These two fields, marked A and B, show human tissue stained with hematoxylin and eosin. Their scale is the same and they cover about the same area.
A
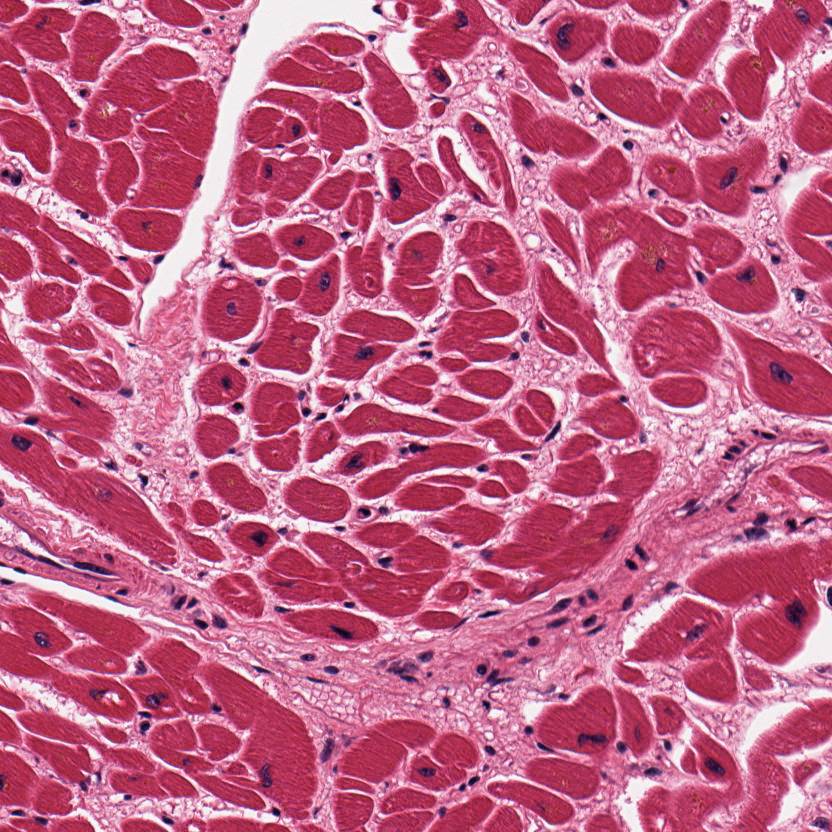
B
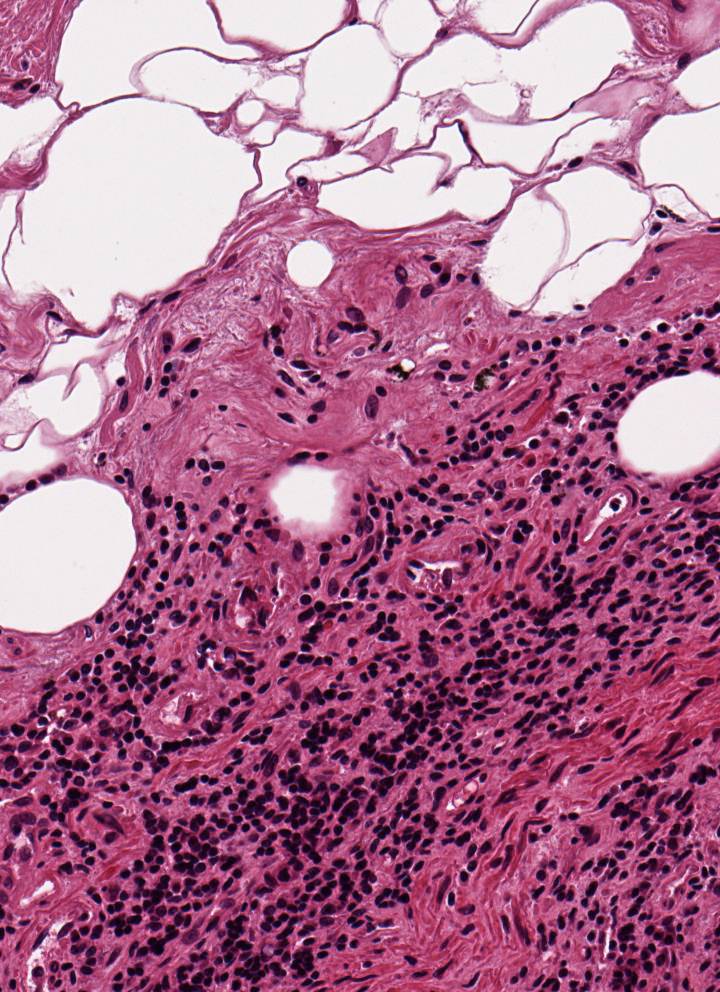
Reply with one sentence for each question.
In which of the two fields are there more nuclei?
Field B holds more nuclei than field A.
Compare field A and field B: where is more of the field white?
More of field B is empty and white.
